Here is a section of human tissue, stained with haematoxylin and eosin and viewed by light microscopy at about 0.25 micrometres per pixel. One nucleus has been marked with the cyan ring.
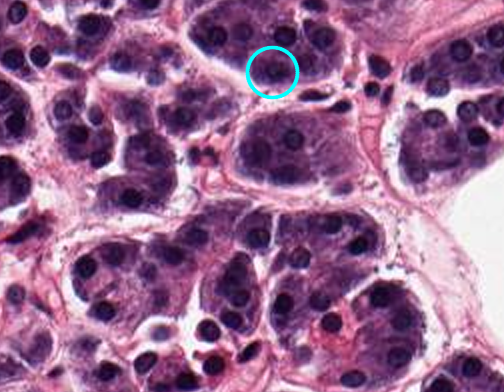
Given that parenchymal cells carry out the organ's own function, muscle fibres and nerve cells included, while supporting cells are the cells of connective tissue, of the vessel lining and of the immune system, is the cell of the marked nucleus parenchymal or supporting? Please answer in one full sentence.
The cell carrying the marked nucleus is a pancreatic acinar cell, a parenchymal cell.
